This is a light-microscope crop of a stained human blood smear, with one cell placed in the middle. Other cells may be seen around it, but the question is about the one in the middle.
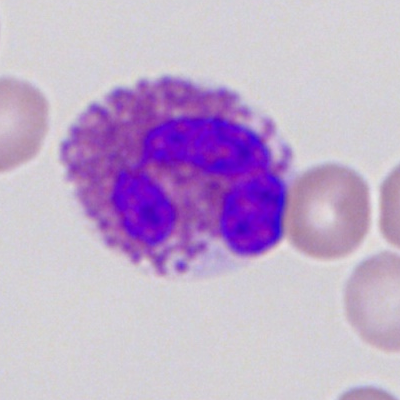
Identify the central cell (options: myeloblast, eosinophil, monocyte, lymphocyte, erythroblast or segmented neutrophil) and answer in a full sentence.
In this smear crop, the middle cell is an eosinophil.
